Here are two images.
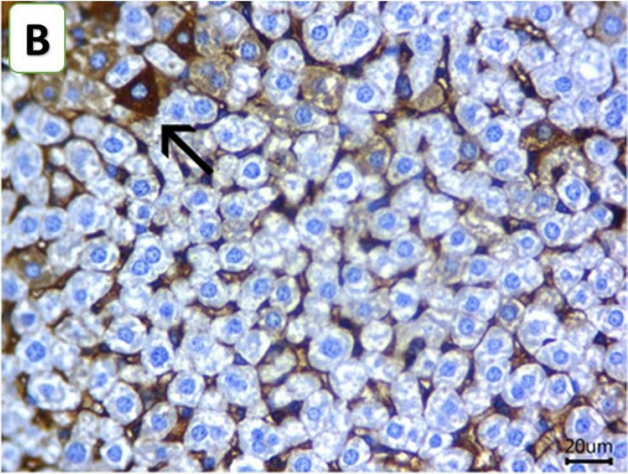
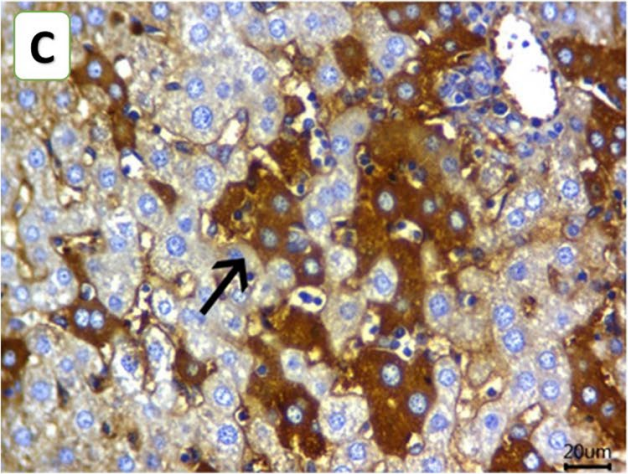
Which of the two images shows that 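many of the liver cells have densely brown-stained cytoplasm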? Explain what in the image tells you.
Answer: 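First image: most cells have pale, largely unstained cytoplasm, with only a few brown cells. Second image: broad groups of cells have dark brown cytoplasm around their blue nuclei.
The second image.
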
